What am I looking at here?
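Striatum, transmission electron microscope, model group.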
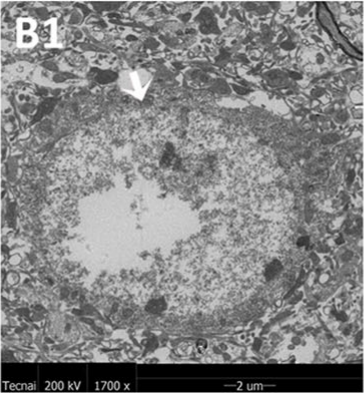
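Dense dark clumps of chromatin lie scattered in the remaining granular nucleoplasm, and the outline of the nucleus is less crisp than a smooth envelope, notably at its upper edge. A band of cytoplasm with small organelles encircles the nucleus, set in dense neuropil.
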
